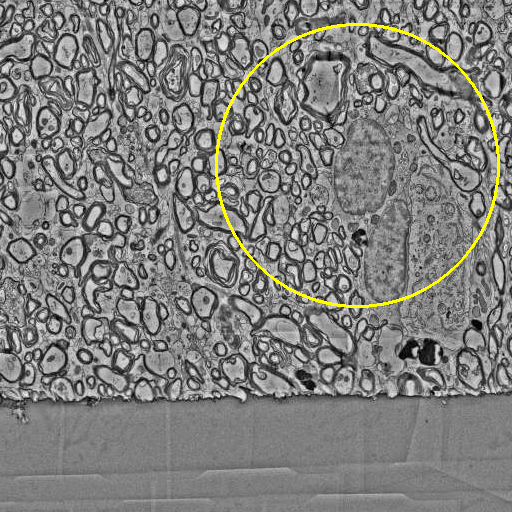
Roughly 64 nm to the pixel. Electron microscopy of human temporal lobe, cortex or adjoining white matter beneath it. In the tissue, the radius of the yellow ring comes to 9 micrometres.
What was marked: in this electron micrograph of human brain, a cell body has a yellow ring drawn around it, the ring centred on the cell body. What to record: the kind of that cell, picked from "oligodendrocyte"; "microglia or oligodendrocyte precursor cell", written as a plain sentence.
The centred cell is an oligodendrocyte.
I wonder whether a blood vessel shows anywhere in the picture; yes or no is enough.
Yes.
